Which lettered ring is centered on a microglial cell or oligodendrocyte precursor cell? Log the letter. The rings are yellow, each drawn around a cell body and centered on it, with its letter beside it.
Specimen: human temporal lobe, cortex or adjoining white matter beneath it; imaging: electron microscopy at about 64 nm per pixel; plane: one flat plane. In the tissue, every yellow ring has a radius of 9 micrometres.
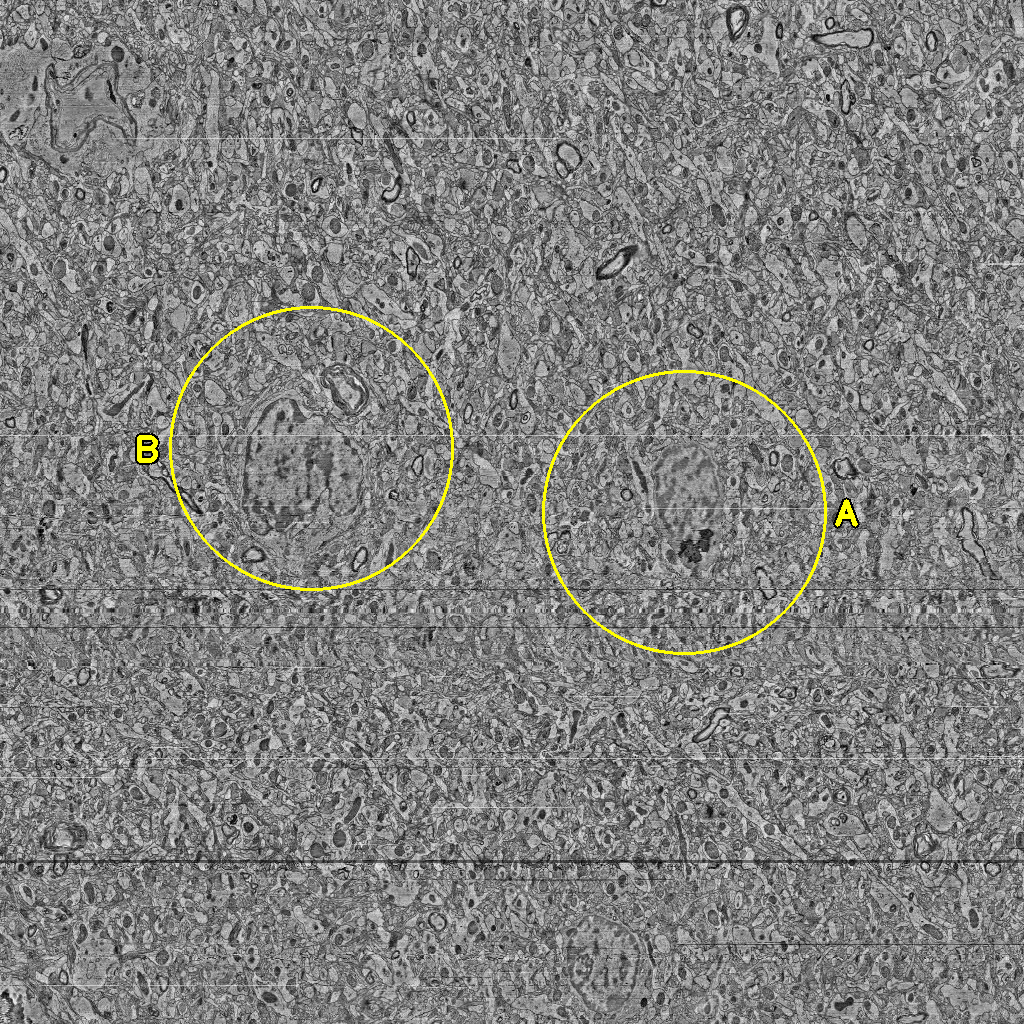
B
